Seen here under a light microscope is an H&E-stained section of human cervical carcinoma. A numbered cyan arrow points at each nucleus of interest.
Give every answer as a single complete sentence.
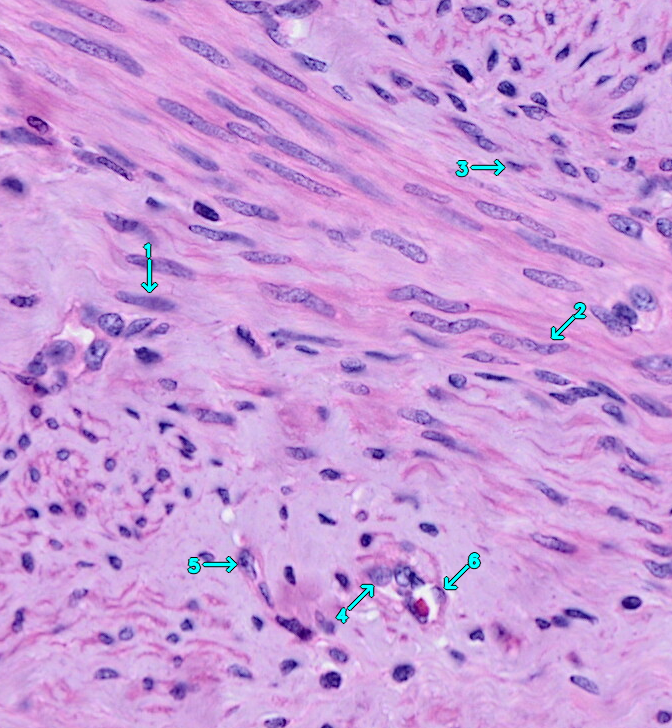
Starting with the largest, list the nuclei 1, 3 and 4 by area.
By area, largest first, they run 1, 4, 3.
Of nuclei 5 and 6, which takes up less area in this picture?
With nucleus 5 about 2 times its size, nucleus 6 is the smaller of the two.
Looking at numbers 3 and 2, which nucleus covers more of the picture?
Number 2 is larger; its area is about 2 times that of number 3.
